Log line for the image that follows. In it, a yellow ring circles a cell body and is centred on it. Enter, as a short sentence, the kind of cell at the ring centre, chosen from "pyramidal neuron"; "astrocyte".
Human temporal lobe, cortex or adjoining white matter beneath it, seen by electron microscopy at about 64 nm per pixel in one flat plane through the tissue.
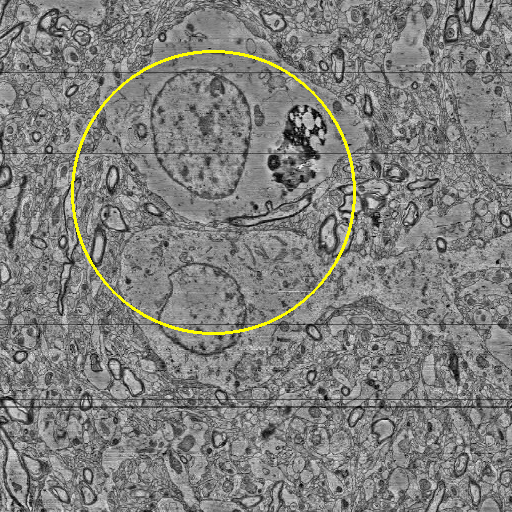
The ring centre is occupied by an astrocyte.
